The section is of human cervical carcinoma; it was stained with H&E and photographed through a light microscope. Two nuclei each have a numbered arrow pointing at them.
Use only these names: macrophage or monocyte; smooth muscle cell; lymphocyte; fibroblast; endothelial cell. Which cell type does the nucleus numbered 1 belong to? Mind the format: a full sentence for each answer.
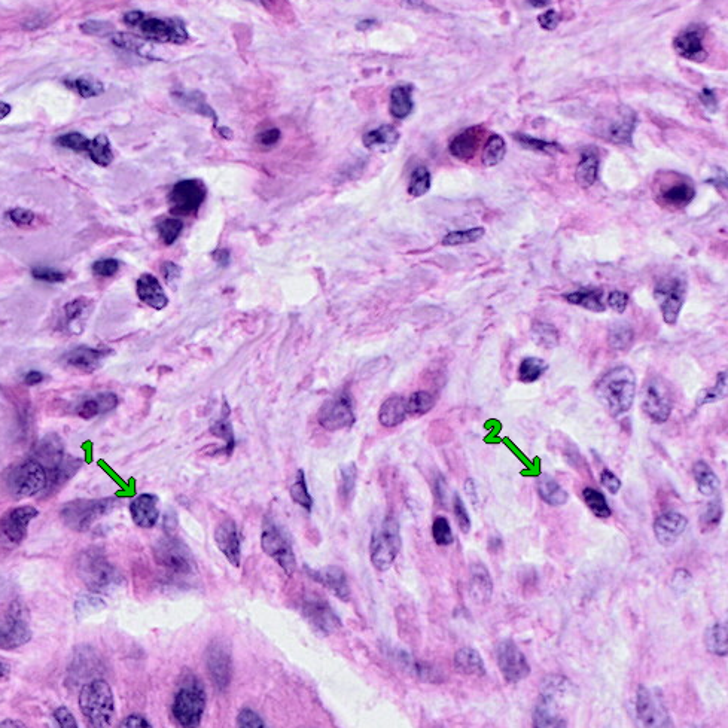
Identified by the number 1, the cell is a lymphocyte.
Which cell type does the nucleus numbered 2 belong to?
The cell with the number 2 is a macrophage or monocyte.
